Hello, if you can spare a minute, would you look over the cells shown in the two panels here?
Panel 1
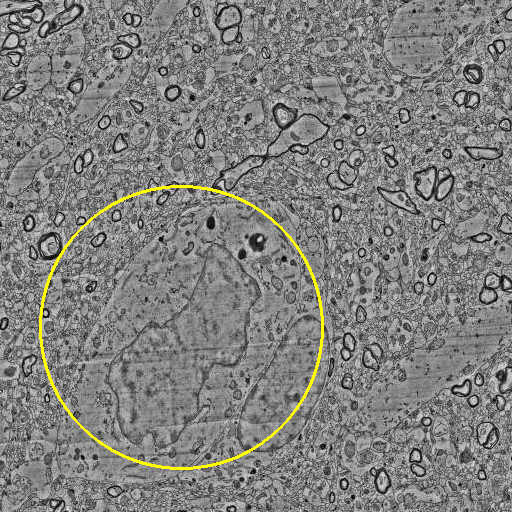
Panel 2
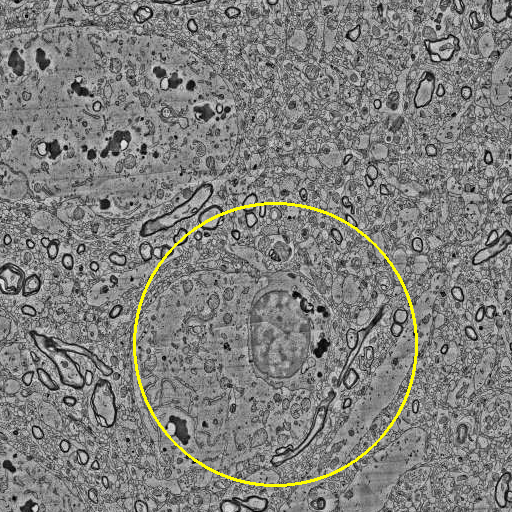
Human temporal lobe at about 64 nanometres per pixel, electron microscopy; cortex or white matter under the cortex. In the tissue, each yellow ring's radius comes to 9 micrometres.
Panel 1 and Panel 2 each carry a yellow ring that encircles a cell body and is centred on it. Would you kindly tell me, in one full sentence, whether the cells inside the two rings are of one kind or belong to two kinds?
The cells at the centres of the rings in Panel 1 and Panel 2 belong to two kinds.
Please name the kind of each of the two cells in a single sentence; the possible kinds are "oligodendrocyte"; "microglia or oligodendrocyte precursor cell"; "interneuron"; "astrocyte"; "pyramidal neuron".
In the first picture the ring is centred on an interneuron, and in the second on an oligodendrocyte.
